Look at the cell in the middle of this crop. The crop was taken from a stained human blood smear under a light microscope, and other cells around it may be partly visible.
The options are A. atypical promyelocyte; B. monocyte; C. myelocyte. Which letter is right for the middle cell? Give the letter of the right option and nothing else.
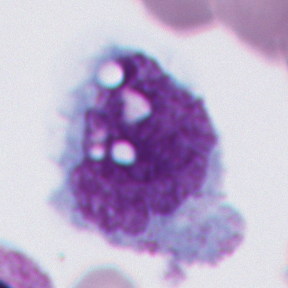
B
